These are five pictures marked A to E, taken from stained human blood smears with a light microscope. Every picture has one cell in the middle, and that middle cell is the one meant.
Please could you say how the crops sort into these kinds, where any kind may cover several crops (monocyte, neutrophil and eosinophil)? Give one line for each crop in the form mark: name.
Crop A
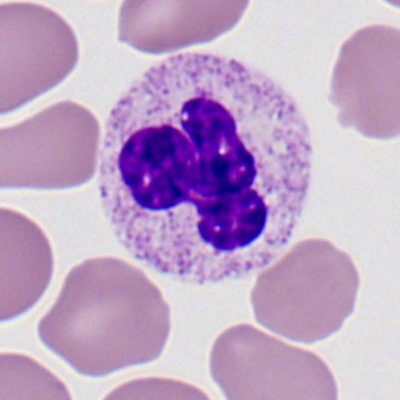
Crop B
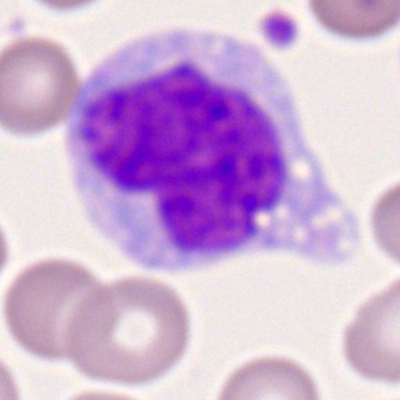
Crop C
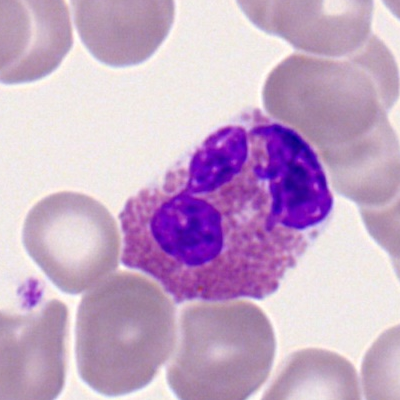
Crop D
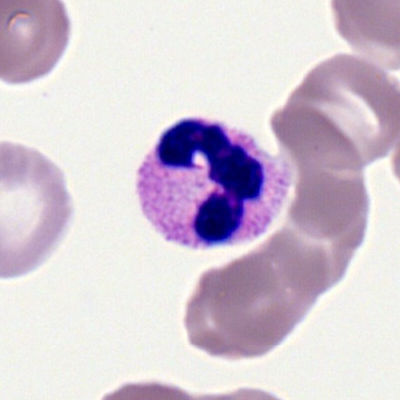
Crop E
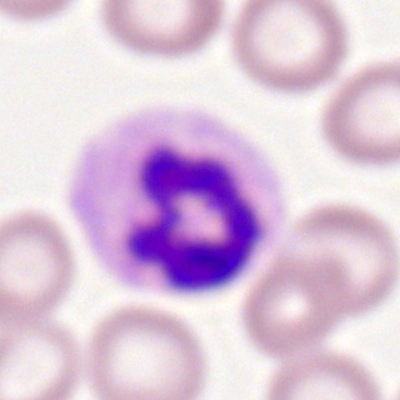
A: neutrophil
B: monocyte
C: eosinophil
D: neutrophil
E: neutrophil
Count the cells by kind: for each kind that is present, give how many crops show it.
neutrophil: 3
monocyte: 1
eosinophil: 1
